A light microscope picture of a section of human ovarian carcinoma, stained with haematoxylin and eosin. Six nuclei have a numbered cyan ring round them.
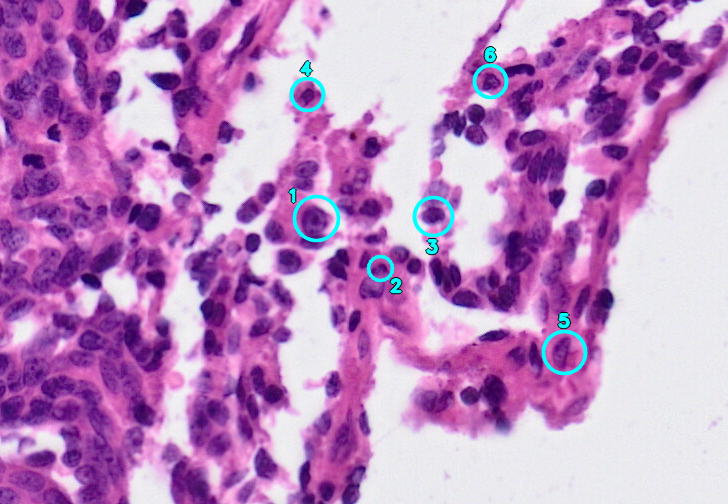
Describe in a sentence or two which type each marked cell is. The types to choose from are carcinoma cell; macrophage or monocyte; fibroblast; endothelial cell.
Cells 1 and 3 are carcinoma cells. Cells 2 and 5 are endothelial cells. Cells 4 and 6 are macrophages or monocytes.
